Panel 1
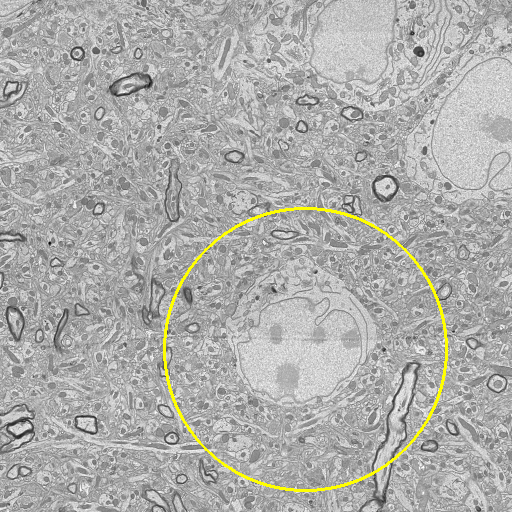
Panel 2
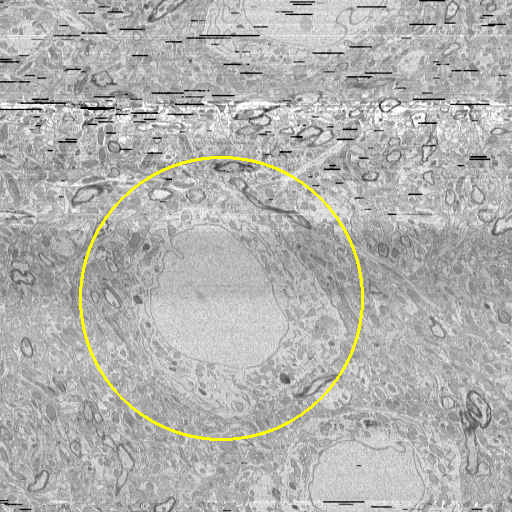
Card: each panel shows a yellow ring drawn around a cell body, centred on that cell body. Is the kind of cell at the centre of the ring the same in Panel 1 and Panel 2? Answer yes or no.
yes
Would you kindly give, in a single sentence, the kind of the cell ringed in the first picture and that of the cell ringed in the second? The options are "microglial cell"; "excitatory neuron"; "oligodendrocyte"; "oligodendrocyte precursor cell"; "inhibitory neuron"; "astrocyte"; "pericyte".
Each of the two rings surrounds an excitatory neuron.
